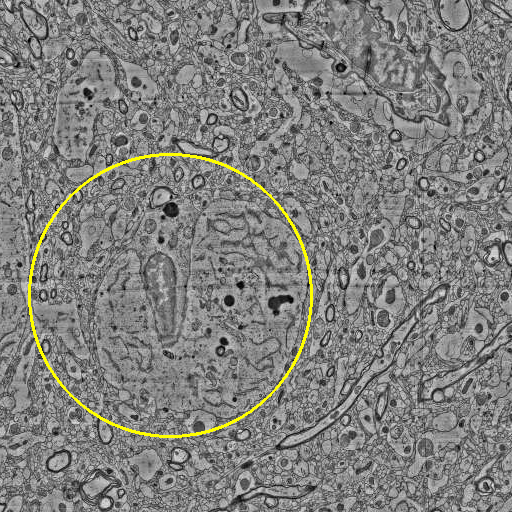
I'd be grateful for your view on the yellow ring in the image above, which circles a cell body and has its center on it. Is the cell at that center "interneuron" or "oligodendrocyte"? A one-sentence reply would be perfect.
The cell at the center of the yellow ring is an oligodendrocyte.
